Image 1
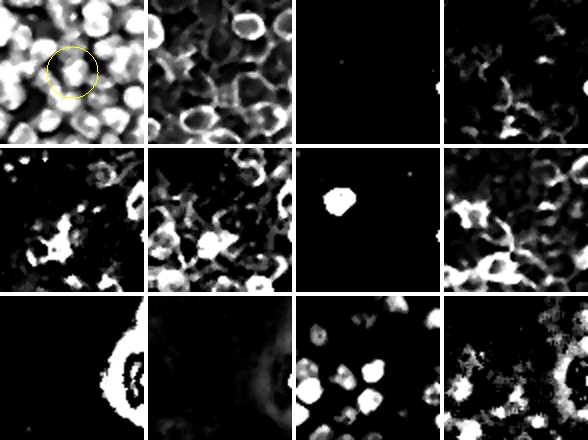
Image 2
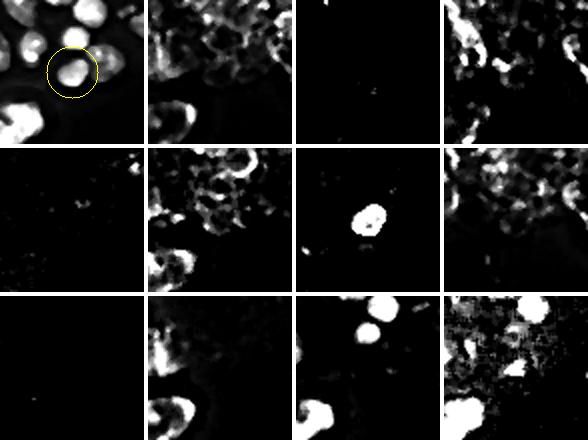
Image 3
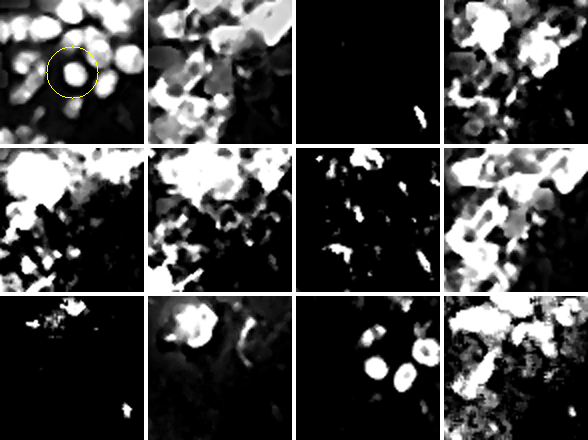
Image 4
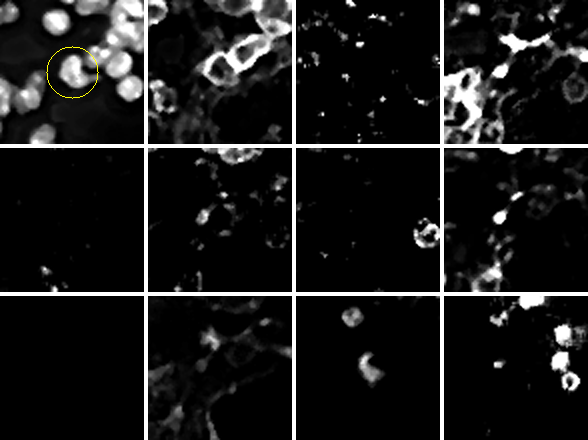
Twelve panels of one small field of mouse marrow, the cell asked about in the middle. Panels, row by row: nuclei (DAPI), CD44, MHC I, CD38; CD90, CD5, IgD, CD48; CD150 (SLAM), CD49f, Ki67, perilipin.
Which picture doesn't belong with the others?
Picture 2.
